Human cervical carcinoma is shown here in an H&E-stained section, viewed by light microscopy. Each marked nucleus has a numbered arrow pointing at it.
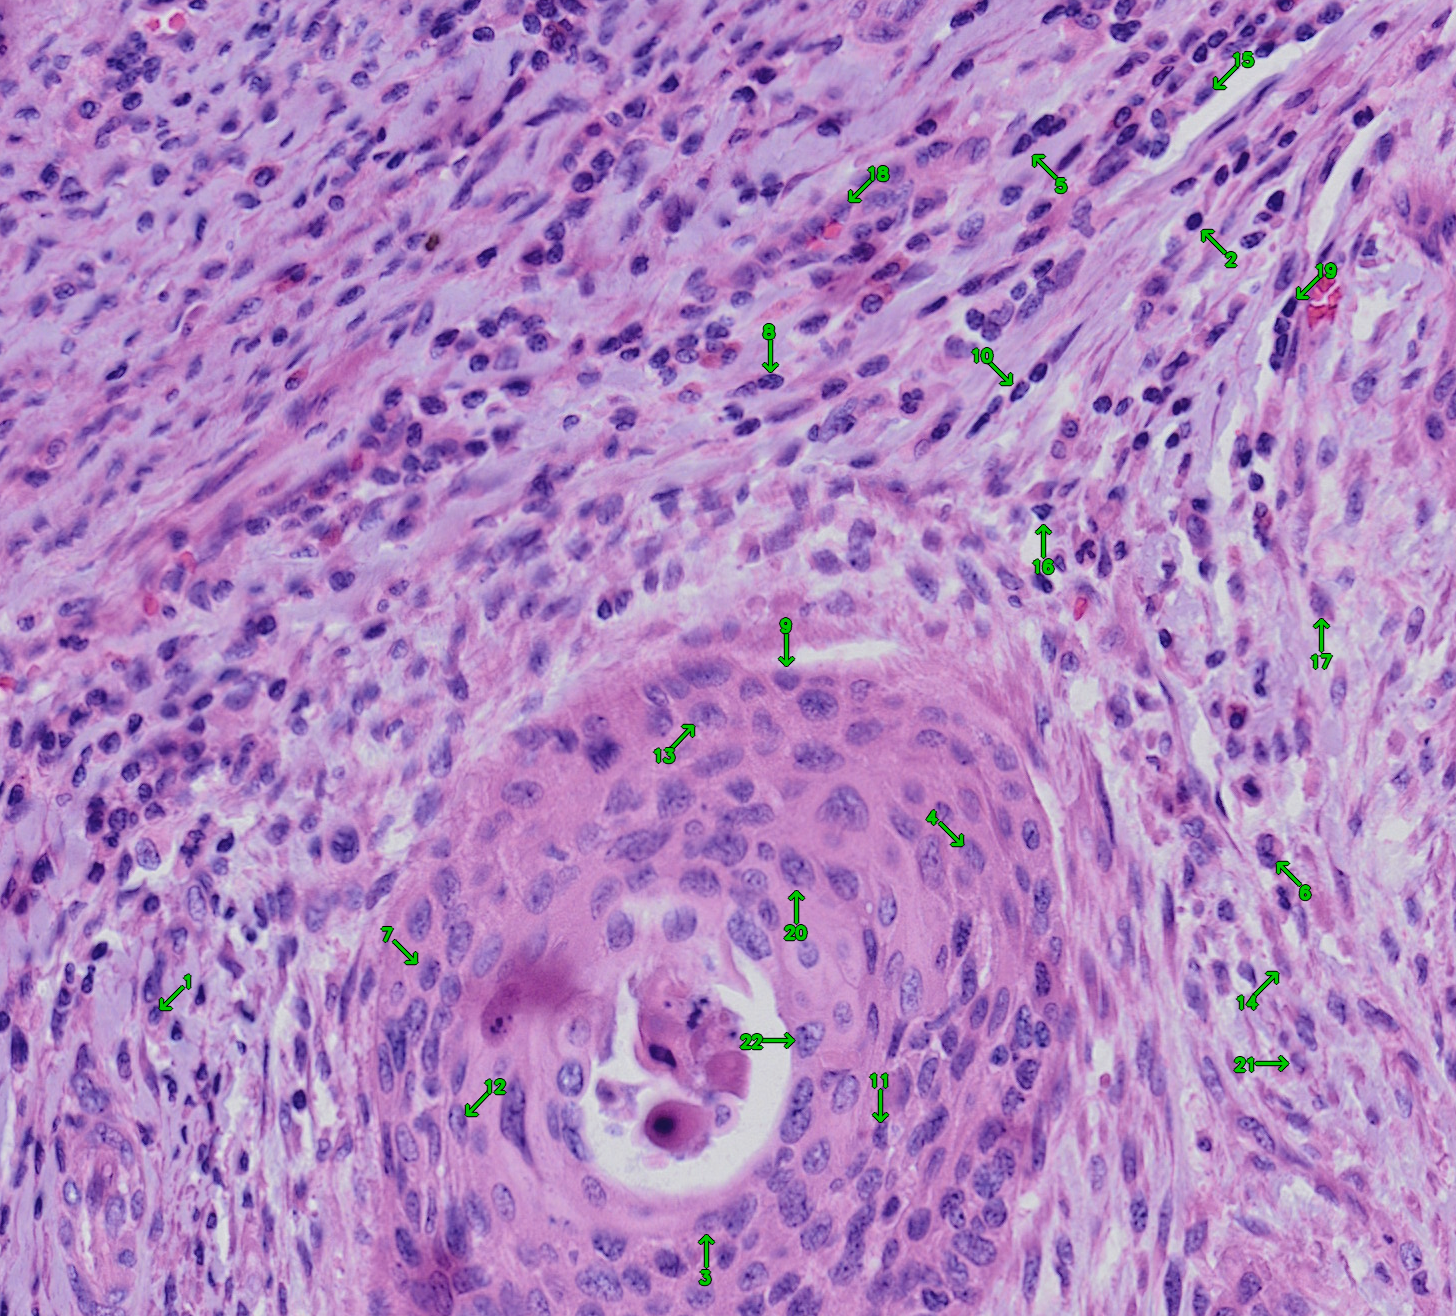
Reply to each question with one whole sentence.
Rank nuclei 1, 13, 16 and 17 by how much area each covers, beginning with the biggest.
Largest first, the order by area is 13, 17, 16, 1.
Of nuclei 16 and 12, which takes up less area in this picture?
Nucleus 16 is the smaller one; nucleus 12 covers about 1.5 times its area.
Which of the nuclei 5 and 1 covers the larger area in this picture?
At about 1.5 times the area of nucleus 1, nucleus 5 is the larger of the two.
